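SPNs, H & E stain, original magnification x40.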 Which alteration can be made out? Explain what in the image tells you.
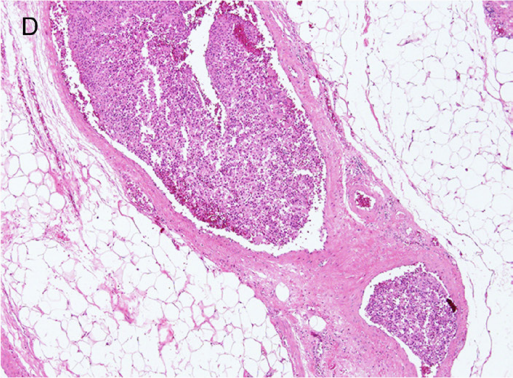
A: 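The lumens are filled with clusters of tumor cells. Surrounding tissue is mature adipose tissue.
Hence: Lymphovascular invasion.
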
